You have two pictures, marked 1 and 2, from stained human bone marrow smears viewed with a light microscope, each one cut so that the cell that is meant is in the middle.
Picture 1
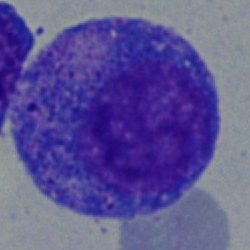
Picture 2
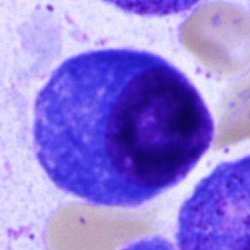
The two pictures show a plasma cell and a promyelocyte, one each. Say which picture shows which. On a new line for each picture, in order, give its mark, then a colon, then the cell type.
1: promyelocyte
2: plasma cell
